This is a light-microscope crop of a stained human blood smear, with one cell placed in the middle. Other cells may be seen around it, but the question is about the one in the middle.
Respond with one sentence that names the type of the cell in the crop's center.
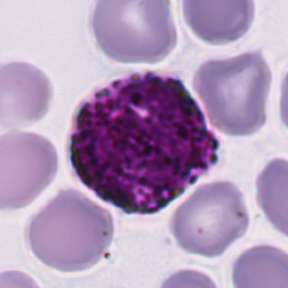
Seen at the centre of the crop is a basophil.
